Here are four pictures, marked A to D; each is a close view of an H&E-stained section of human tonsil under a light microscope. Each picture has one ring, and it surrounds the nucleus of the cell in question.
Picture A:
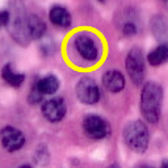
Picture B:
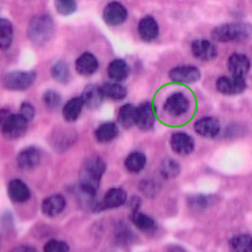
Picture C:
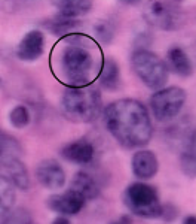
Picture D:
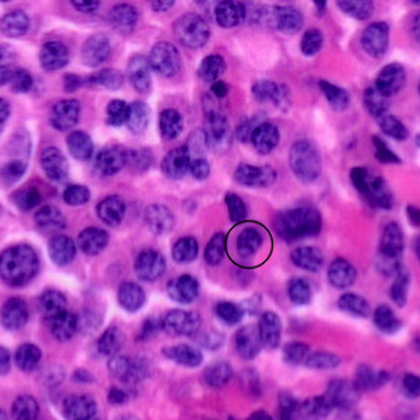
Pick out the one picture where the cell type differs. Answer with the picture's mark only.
C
